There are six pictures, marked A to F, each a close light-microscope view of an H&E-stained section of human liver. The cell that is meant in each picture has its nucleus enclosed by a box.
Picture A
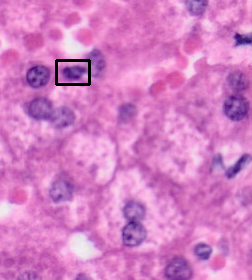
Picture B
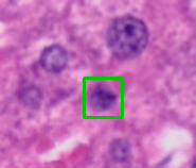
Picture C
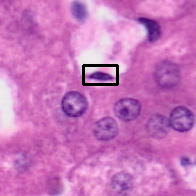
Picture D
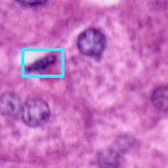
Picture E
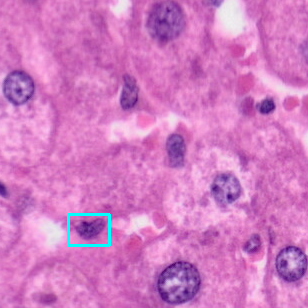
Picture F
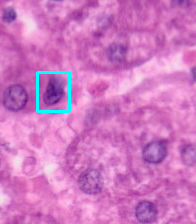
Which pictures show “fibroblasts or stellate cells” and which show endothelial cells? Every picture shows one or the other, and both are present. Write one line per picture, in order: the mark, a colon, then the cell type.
A: fibroblast or stellate cell
B: endothelial cell
C: endothelial cell
D: endothelial cell
E: fibroblast or stellate cell
F: fibroblast or stellate cell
